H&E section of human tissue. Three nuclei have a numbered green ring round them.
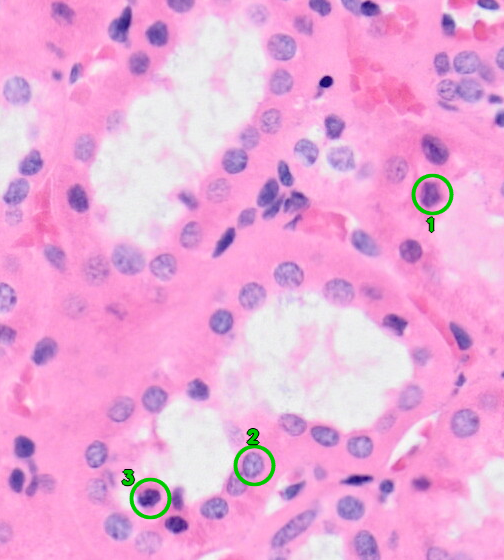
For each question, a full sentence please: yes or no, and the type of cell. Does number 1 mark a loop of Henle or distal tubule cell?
No, as for cell 1, it is a proximal tubule cell and not a loop of Henle or distal tubule cell.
